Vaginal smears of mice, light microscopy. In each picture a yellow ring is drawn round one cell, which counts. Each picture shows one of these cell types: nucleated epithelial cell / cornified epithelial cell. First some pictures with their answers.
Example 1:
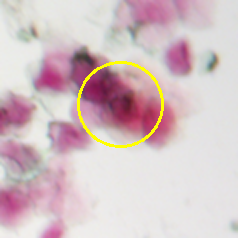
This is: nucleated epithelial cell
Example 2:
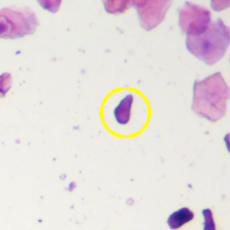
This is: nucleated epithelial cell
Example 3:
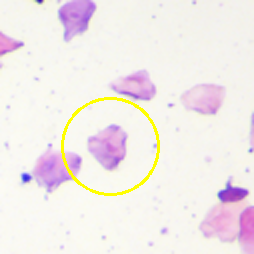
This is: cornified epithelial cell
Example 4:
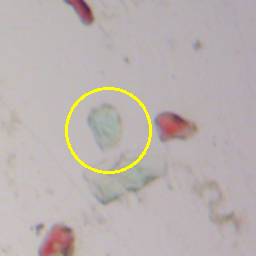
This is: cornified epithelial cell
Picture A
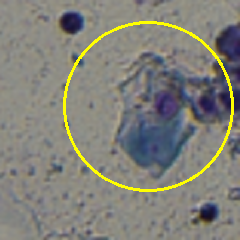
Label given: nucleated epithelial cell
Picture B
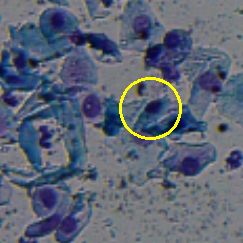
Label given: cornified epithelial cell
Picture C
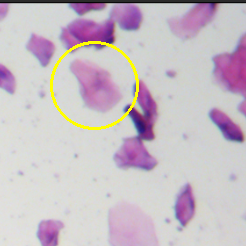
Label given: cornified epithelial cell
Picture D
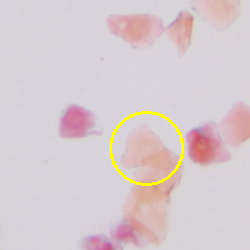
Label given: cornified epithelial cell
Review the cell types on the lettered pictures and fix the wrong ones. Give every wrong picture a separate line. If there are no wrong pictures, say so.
B is labelled cornified epithelial cell; correct label: nucleated epithelial cell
